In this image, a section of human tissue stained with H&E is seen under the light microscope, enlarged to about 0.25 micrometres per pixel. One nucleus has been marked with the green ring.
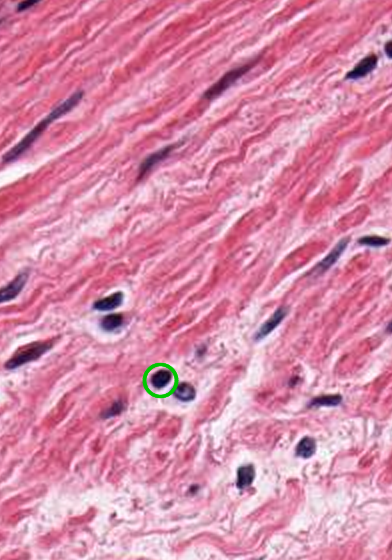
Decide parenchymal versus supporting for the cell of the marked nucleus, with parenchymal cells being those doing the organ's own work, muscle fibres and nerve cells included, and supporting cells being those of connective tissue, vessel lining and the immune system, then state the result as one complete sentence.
The marked nucleus is the nucleus of a supporting cell in this section.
